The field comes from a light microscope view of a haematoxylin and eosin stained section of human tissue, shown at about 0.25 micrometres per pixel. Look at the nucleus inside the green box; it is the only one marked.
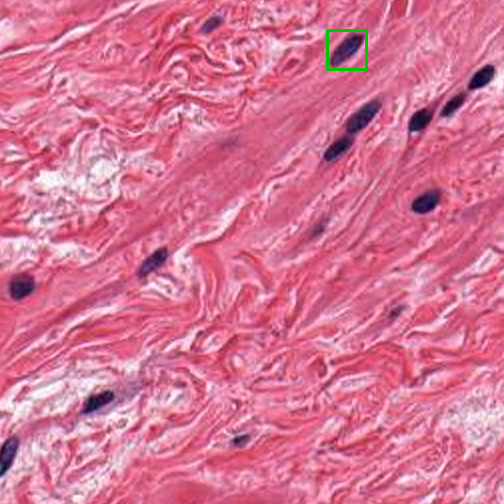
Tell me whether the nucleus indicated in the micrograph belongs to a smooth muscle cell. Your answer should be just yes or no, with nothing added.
yes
